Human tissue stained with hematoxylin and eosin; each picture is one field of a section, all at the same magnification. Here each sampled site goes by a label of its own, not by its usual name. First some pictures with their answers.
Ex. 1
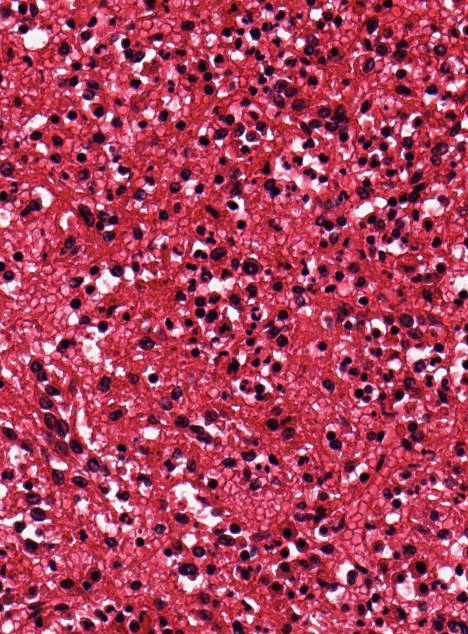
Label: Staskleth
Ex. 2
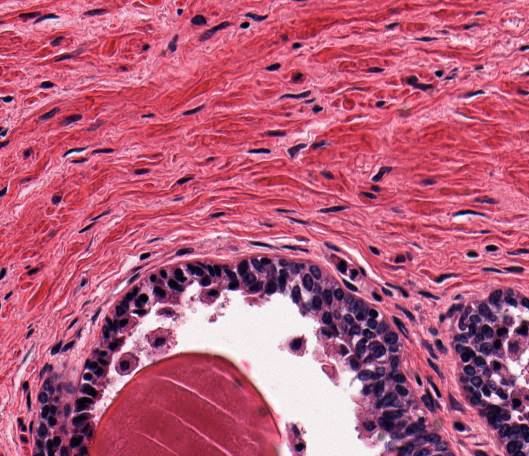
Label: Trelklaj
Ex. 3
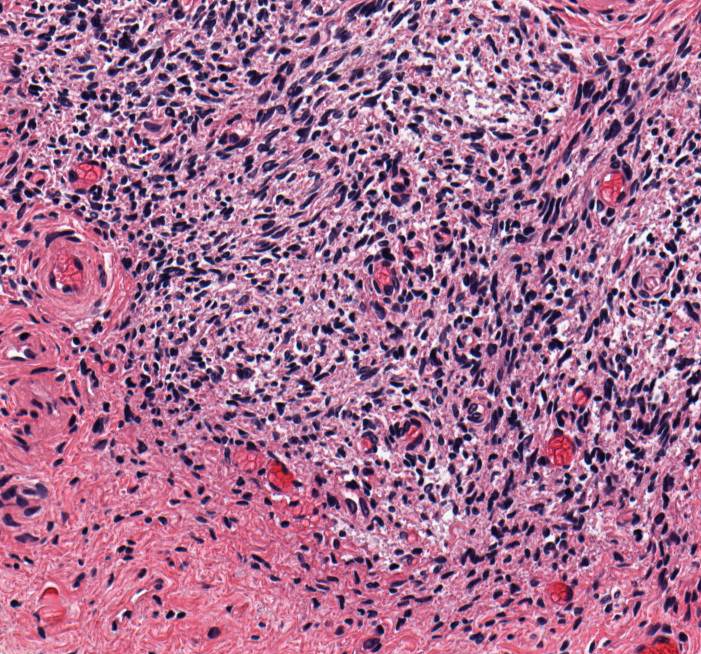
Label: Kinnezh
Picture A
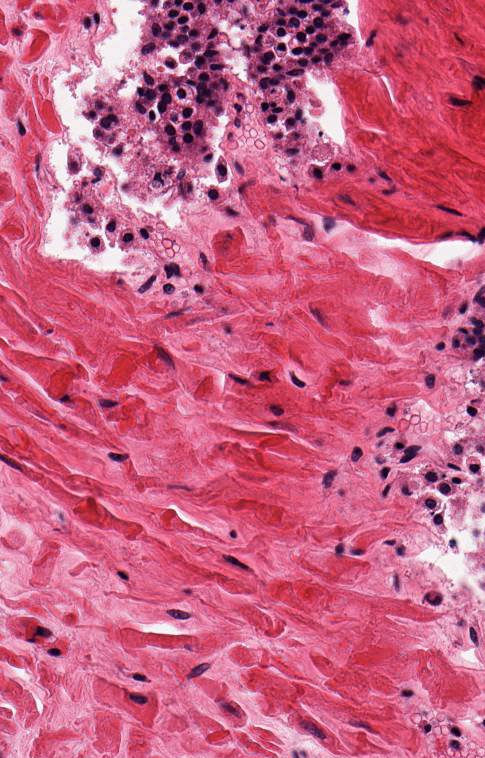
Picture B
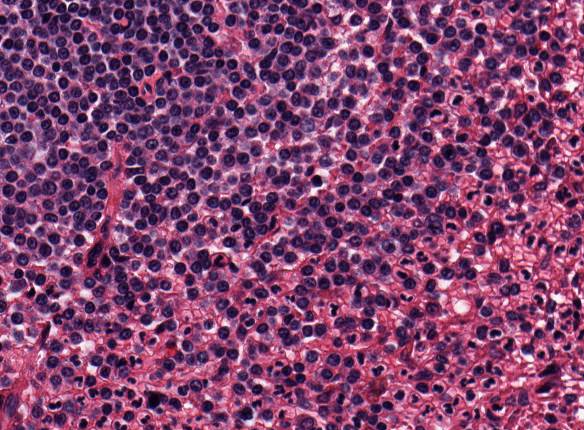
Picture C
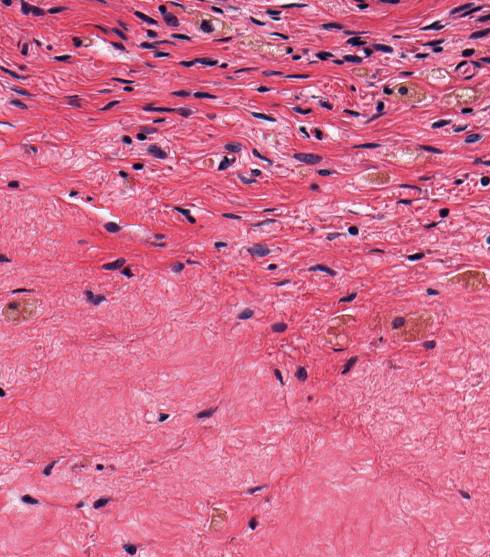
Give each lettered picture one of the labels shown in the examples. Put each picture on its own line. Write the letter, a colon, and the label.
A: Trelklaj
B: Staskleth
C: Kinnezh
